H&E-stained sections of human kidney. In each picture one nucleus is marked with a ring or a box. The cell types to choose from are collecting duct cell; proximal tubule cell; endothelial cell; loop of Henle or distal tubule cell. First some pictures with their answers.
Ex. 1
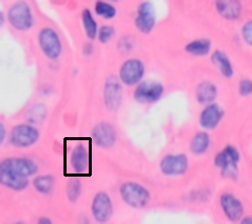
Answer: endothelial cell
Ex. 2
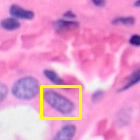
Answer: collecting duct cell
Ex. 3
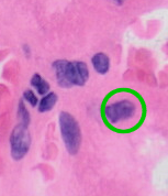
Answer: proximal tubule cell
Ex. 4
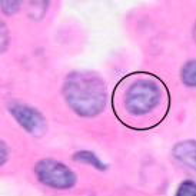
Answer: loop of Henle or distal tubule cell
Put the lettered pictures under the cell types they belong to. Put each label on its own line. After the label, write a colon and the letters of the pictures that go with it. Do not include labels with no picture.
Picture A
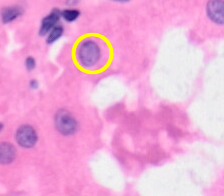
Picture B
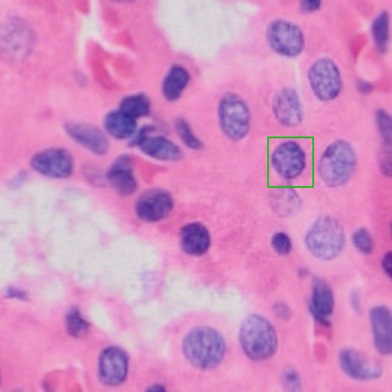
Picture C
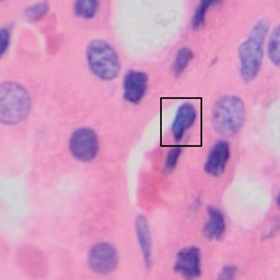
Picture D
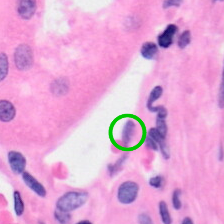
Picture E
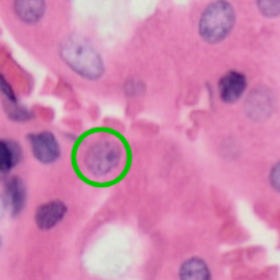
proximal tubule cell: A, E
endothelial cell: C, D
loop of Henle or distal tubule cell: B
